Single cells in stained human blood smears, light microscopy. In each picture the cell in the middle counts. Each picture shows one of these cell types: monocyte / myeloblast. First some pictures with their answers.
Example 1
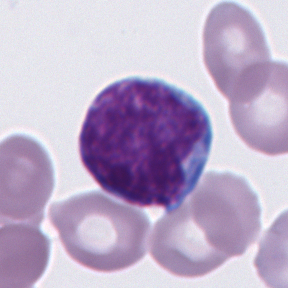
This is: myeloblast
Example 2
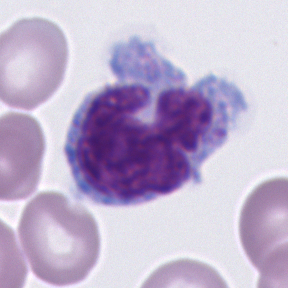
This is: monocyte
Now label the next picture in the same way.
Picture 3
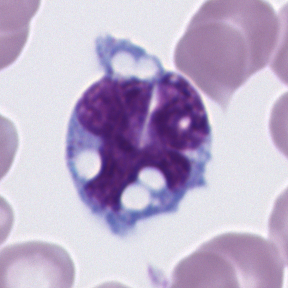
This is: monocyte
